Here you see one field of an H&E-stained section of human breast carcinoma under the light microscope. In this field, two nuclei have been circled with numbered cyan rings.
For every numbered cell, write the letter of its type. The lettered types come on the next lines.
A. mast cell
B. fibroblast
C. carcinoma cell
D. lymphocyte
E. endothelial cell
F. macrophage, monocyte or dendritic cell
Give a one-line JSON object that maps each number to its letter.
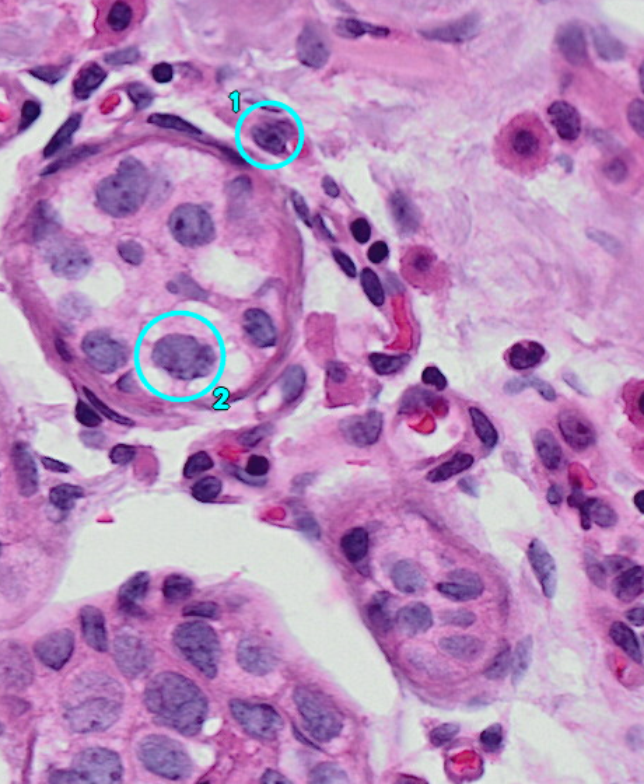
{"1": "E", "2": "C"}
